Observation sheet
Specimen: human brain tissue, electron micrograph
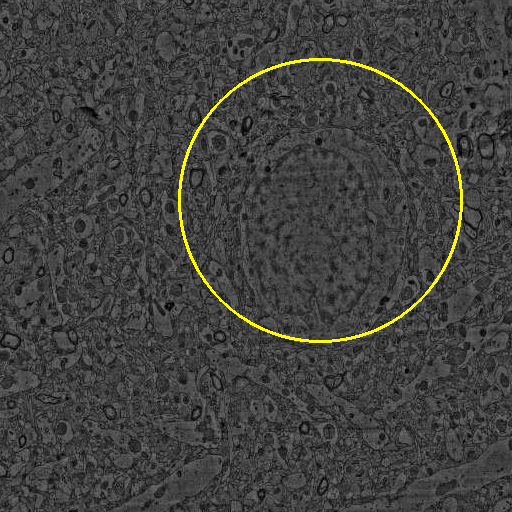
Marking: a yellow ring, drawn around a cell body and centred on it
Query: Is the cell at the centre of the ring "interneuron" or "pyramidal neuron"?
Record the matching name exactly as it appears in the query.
interneuron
